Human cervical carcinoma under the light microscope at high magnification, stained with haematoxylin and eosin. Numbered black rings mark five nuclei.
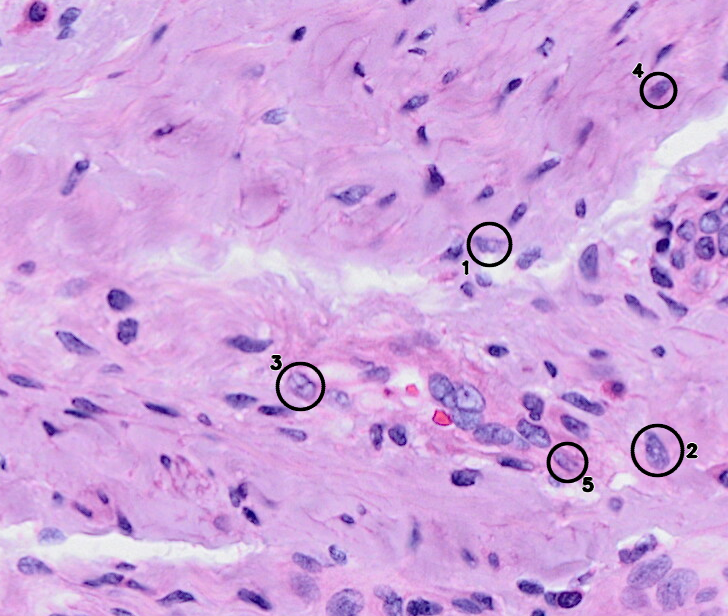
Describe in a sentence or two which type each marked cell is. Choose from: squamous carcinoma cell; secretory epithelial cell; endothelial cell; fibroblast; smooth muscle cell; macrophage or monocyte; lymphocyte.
Cells 1 and 2 are fibroblasts. Cells 3 and 5 are endothelial cells. Cell 4 is a smooth muscle cell.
